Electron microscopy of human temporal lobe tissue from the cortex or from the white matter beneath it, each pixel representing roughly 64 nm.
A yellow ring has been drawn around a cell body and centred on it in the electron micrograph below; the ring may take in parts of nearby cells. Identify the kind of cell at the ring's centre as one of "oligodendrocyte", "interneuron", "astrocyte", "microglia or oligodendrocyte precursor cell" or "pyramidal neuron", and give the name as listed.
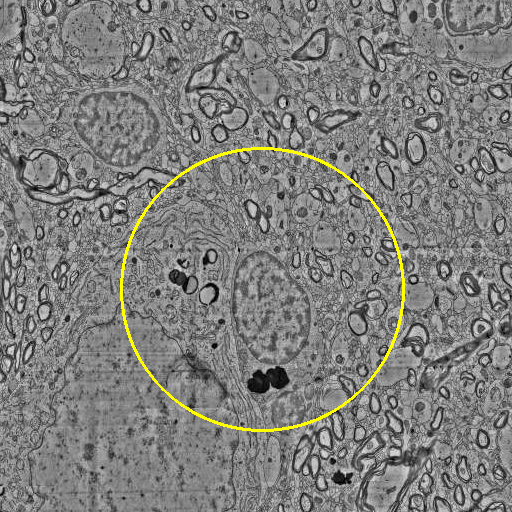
oligodendrocyte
